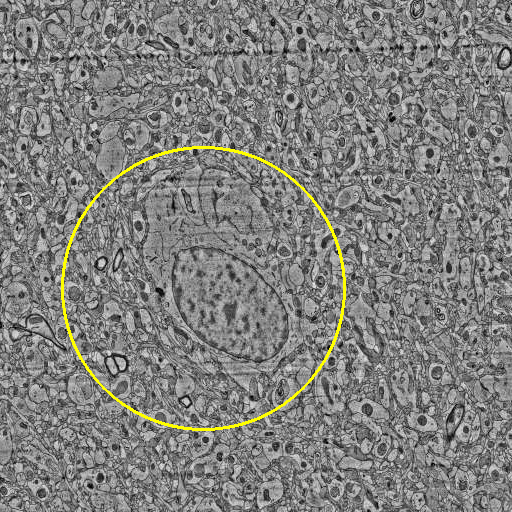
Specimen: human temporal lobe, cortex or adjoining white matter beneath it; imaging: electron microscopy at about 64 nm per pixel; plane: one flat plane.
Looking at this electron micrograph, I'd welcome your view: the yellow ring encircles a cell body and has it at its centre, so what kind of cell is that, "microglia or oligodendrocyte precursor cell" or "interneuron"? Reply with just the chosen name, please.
microglia or oligodendrocyte precursor cell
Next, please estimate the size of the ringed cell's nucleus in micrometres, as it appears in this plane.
In this plane, approximately 9 by 6 micrometers, and clearly longer than it is wide.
